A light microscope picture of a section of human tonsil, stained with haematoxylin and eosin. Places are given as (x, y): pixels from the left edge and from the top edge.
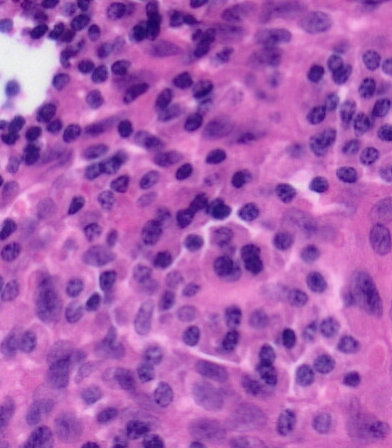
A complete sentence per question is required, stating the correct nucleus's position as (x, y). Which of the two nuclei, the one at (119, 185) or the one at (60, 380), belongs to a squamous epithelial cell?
The nucleus at position (60, 380) belongs to a squamous epithelial cell.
